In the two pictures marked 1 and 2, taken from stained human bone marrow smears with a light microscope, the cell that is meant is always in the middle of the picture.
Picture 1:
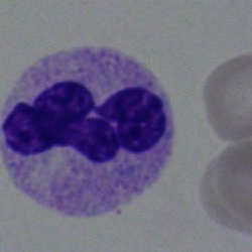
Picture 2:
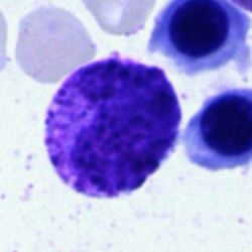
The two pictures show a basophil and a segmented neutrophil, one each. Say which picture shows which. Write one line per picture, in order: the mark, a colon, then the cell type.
1: segmented neutrophil
2: basophil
